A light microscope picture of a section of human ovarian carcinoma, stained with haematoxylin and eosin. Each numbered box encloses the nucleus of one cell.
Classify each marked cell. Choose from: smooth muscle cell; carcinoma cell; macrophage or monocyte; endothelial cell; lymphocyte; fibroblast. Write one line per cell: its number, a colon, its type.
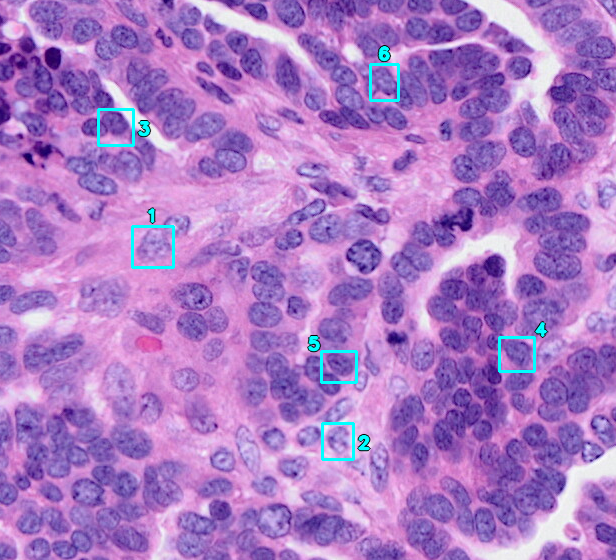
1: fibroblast
2: fibroblast
3: carcinoma cell
4: carcinoma cell
5: carcinoma cell
6: carcinoma cell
